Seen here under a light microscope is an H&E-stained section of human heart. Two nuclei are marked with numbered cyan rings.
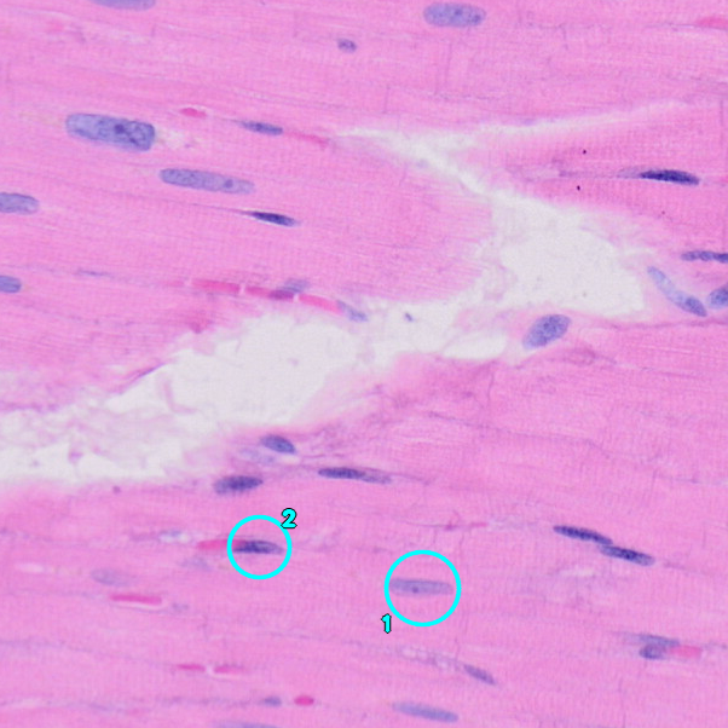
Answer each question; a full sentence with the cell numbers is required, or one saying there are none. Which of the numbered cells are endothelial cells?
Only the cell with the number 2 is an endothelial cell.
